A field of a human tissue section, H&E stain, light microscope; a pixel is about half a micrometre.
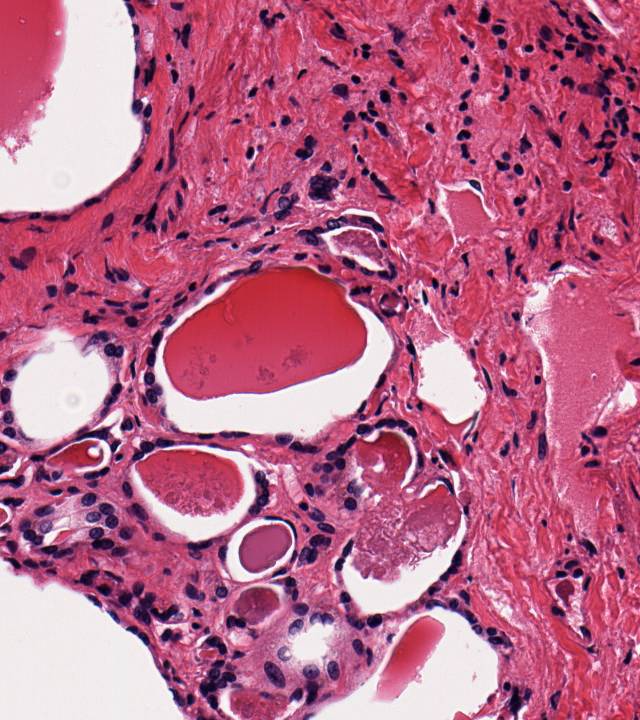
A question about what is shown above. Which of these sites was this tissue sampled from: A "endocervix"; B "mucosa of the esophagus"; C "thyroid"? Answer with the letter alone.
C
